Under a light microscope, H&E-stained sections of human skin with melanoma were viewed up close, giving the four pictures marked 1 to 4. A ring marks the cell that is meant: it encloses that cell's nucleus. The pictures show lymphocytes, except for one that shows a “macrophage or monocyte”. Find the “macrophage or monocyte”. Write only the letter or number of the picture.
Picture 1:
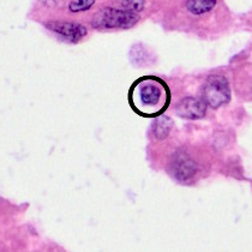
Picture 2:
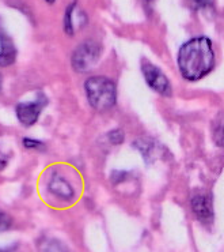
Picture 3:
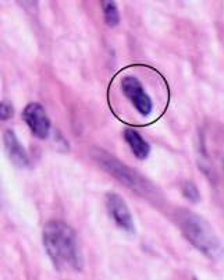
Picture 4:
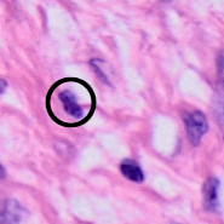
2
